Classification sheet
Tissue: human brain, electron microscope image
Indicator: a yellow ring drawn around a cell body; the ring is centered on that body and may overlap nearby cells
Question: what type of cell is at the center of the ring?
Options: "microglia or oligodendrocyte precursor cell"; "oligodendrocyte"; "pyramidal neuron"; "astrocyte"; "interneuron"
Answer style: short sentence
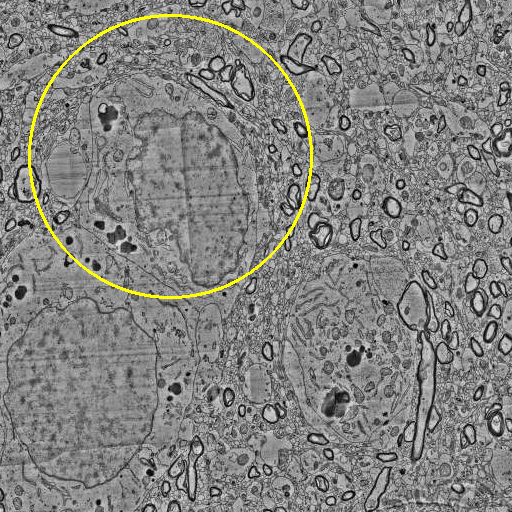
At the ring's center is an interneuron.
